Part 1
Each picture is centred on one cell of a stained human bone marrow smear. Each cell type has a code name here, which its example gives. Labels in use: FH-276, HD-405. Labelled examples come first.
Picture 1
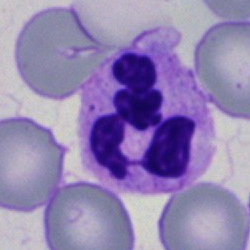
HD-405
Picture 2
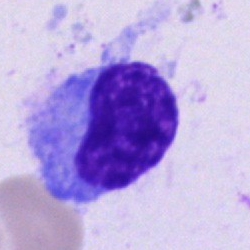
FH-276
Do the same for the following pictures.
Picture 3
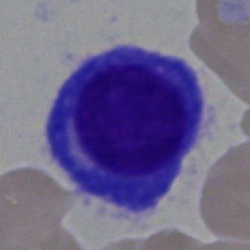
FH-276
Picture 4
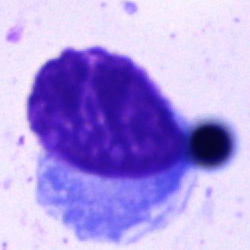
FH-276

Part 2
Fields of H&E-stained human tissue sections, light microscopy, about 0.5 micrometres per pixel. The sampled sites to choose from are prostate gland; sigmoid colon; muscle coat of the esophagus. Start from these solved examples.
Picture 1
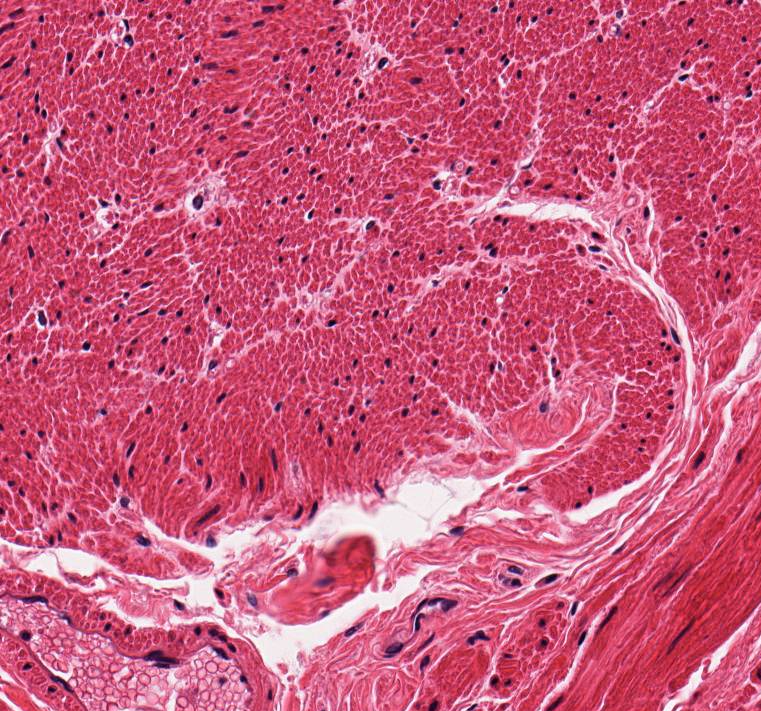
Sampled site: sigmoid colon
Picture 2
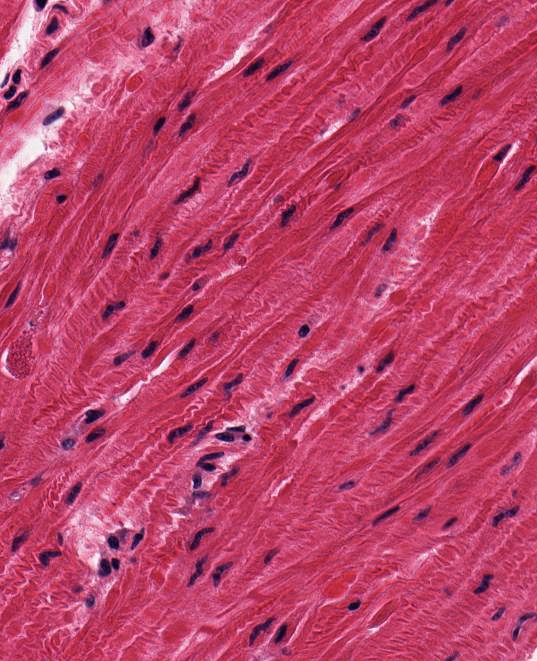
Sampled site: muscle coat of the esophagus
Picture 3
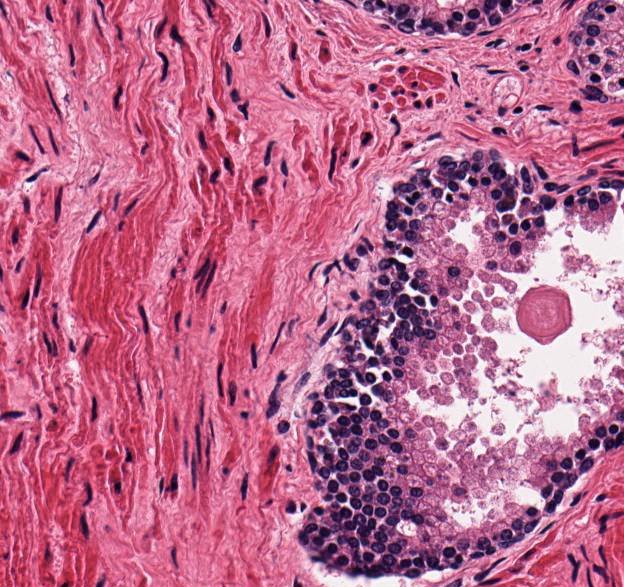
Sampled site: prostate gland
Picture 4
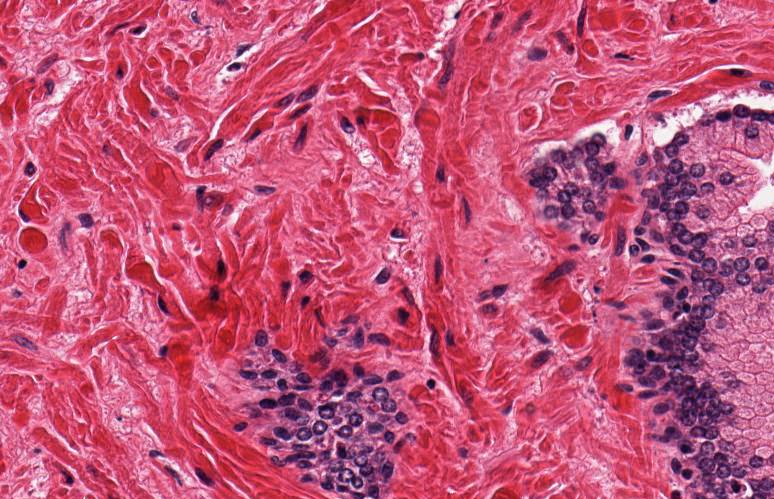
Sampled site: prostate gland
